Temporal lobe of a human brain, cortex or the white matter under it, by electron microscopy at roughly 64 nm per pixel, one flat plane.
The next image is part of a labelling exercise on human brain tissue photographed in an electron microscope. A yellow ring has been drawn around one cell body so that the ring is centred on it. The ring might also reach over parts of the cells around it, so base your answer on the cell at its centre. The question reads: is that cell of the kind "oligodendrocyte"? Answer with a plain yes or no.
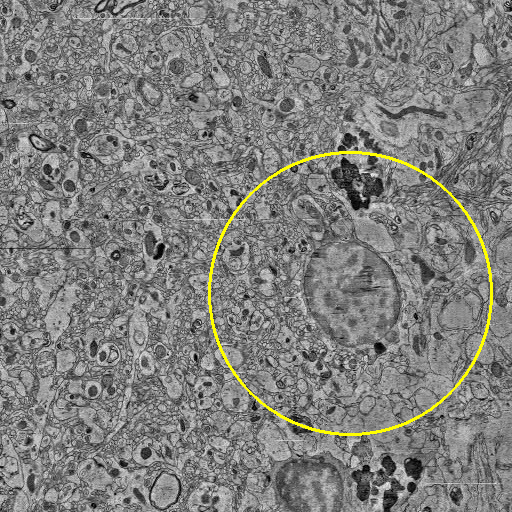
yes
